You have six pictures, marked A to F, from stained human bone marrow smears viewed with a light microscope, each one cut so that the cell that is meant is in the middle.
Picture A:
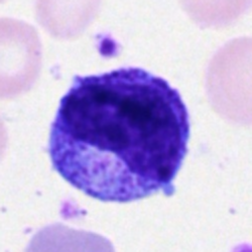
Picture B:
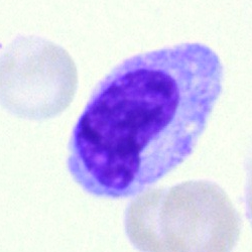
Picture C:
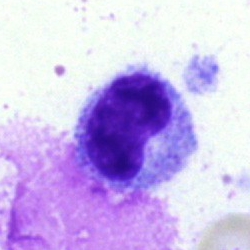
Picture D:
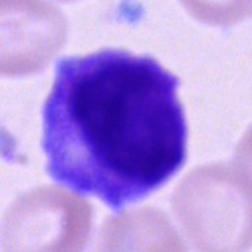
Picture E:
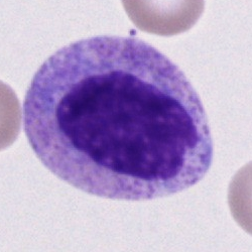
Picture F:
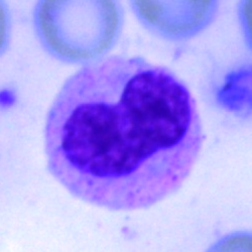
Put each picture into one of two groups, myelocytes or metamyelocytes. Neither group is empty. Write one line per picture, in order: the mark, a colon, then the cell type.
A: metamyelocyte
B: metamyelocyte
C: metamyelocyte
D: myelocyte
E: myelocyte
F: metamyelocyte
